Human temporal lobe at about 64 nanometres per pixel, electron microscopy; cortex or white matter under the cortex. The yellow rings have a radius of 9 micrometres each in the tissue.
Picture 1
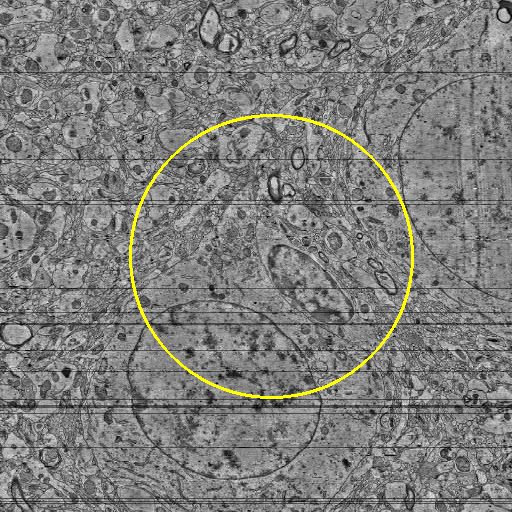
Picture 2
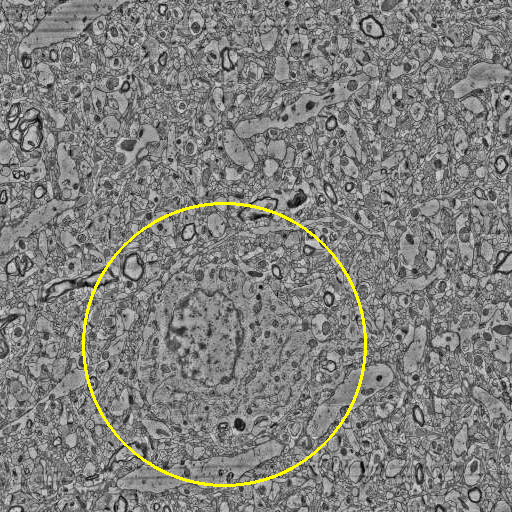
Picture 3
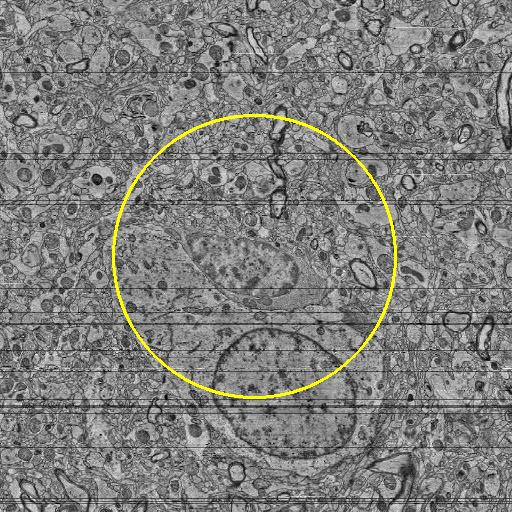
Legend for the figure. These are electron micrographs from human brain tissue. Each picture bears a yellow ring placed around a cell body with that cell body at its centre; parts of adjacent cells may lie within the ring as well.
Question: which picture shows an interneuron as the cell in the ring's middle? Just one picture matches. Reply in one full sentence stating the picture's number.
It is picture 2 whose yellow ring is centred on the requested cell.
